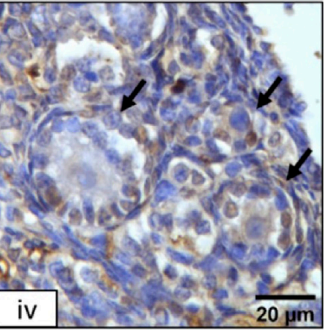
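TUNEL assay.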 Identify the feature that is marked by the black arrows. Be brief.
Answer: Growing follicles.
